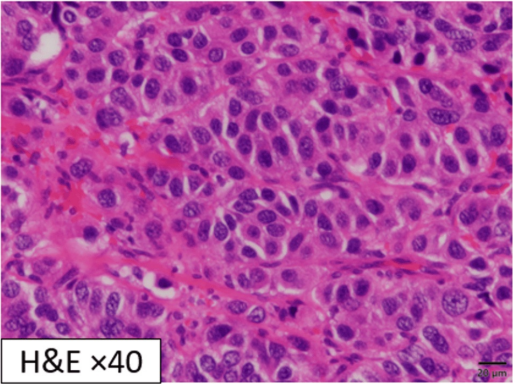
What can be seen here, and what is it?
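Closely packed tumor cells lie in nests and cords separated by thin pink fibrovascular strands containing red blood cells. The nuclei differ noticeably in size and shape from cell to cell, some being much larger than others. This is a tumor with marked nuclear pleomorphism.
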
